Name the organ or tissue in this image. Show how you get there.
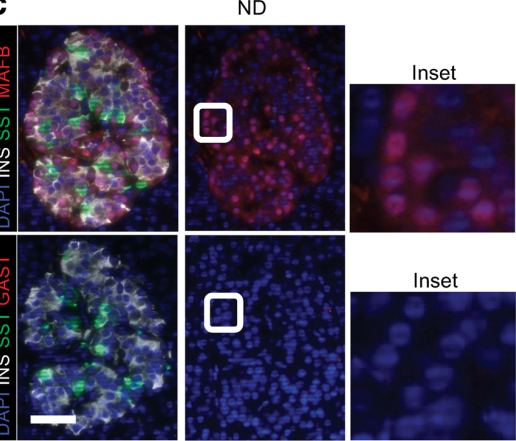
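A compact, rounded cluster of densely packed cells stands apart from the surrounding tissue. The cluster is filled with white-stained cells with scattered green cells among them. Outside the cluster lie cells with blue nuclei only. The answer: islets.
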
